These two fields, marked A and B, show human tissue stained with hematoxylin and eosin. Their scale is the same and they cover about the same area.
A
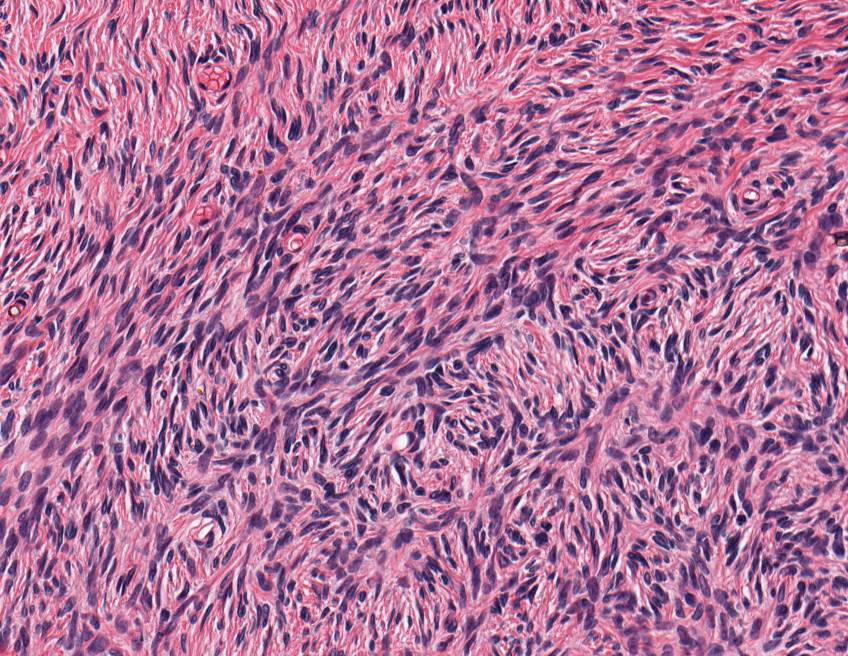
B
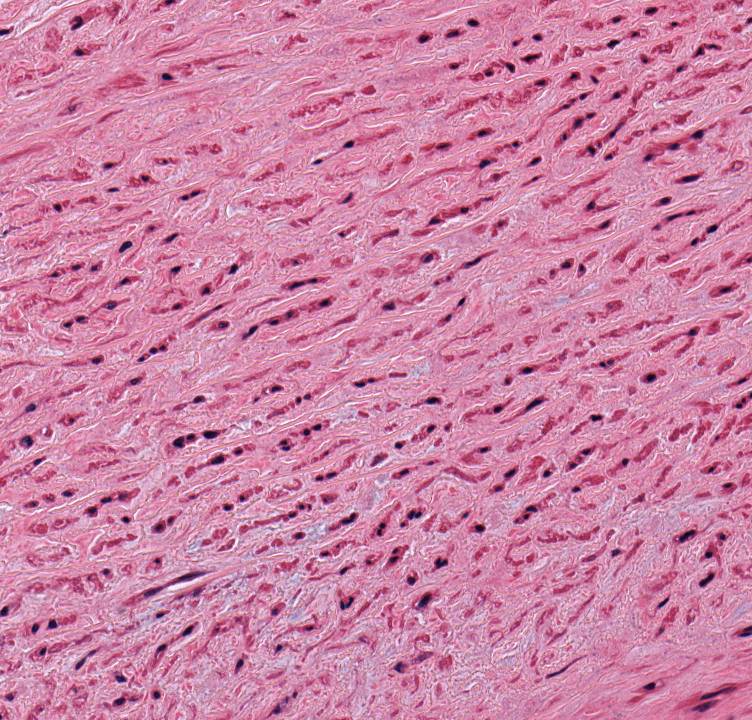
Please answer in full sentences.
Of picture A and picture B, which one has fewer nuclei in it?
The smaller number of nuclei is in picture B.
